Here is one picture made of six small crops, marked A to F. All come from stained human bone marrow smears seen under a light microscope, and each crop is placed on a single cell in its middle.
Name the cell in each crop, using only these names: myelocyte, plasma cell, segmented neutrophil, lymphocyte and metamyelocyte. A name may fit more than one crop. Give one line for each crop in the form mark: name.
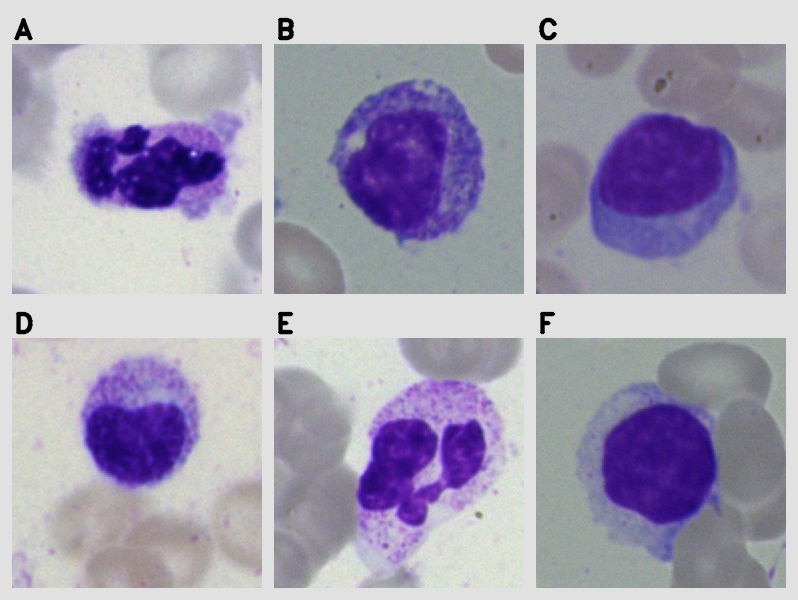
A: segmented neutrophil
B: myelocyte
C: plasma cell
D: metamyelocyte
E: segmented neutrophil
F: lymphocyte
